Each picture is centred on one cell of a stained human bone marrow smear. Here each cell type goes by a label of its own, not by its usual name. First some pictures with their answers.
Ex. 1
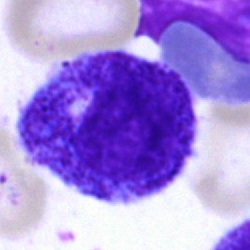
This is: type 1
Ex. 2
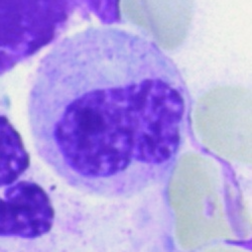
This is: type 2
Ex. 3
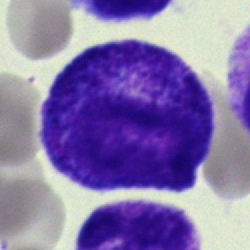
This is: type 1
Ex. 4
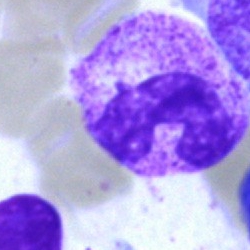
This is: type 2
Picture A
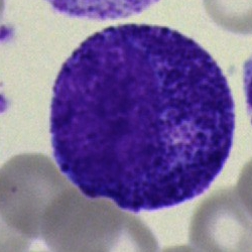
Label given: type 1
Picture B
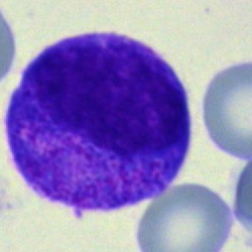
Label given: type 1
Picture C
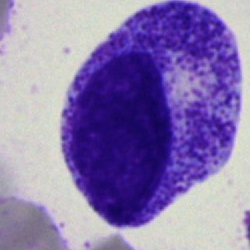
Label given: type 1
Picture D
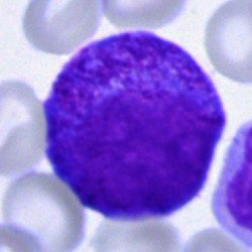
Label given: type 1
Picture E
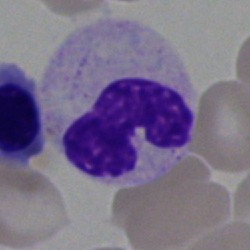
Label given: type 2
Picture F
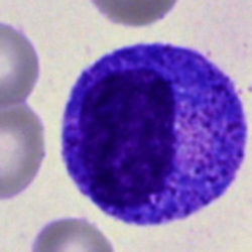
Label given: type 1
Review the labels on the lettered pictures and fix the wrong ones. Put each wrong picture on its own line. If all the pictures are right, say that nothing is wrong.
Nothing to fix; every label fits.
